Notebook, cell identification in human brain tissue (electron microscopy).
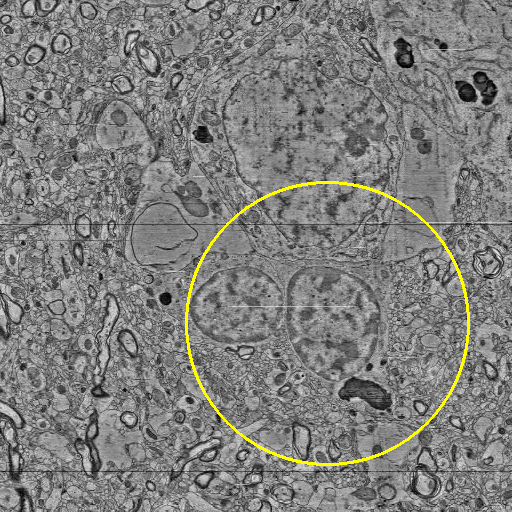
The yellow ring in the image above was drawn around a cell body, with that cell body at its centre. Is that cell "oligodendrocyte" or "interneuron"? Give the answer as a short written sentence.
The cell in the ring is an oligodendrocyte.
